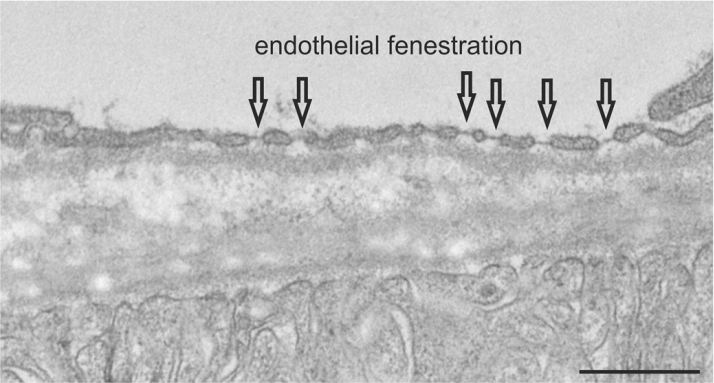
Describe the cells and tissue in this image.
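This electron micrograph shows the boundary between the choriocapillary and the retinal pigment epithelium. Below the endothelium lies Bruch's membrane, a layered extracellular band with alternating denser and paler strata of fine fibrillar material. At the bottom, the base of the pigment epithelium is thrown into many narrow, finger-like basal infoldings that abut the membrane.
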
